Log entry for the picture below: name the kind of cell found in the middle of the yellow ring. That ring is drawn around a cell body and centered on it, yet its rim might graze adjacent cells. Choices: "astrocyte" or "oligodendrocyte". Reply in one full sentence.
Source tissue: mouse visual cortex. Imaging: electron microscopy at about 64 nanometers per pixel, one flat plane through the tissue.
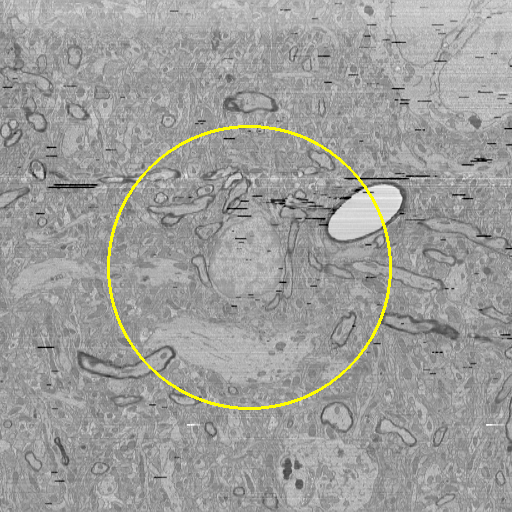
The cell in the middle of the yellow ring in this picture is an oligodendrocyte.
